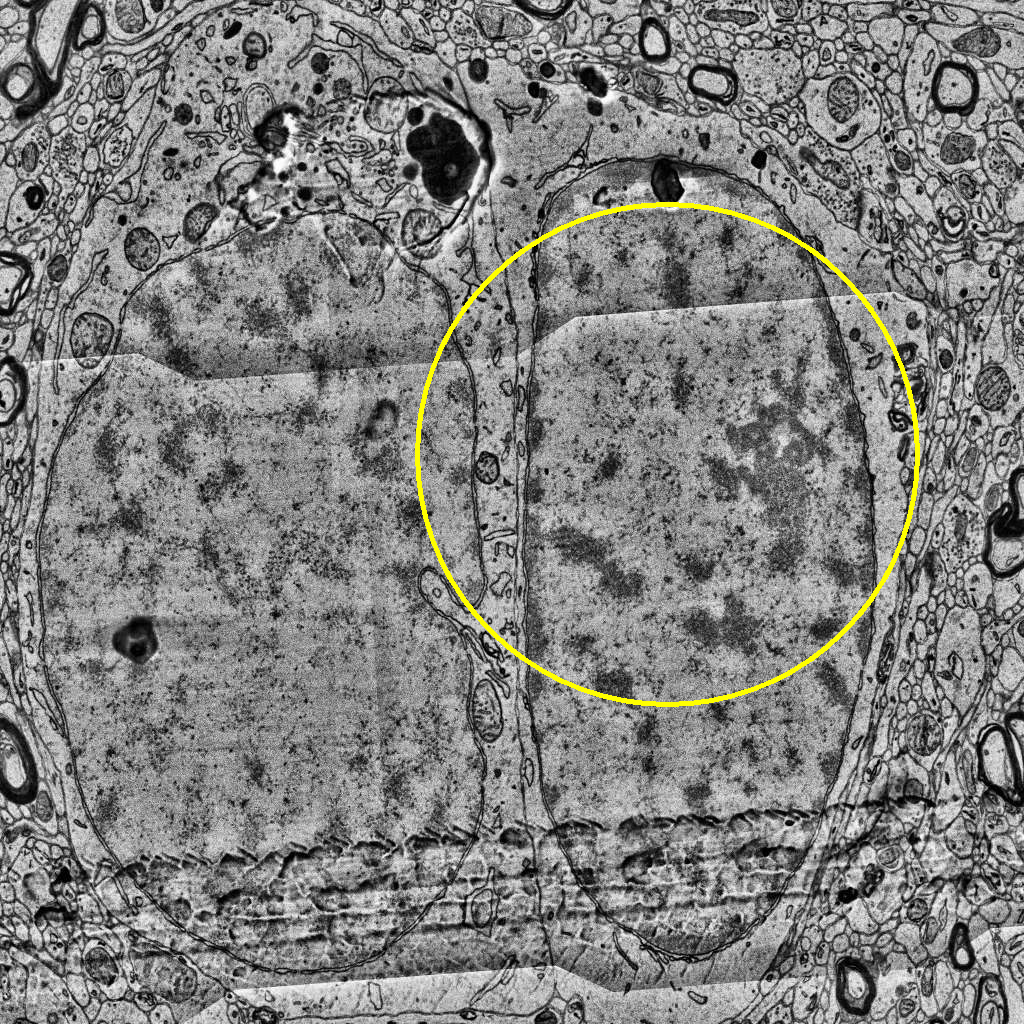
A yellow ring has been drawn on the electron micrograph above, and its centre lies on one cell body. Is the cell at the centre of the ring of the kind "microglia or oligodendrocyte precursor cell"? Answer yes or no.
yes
